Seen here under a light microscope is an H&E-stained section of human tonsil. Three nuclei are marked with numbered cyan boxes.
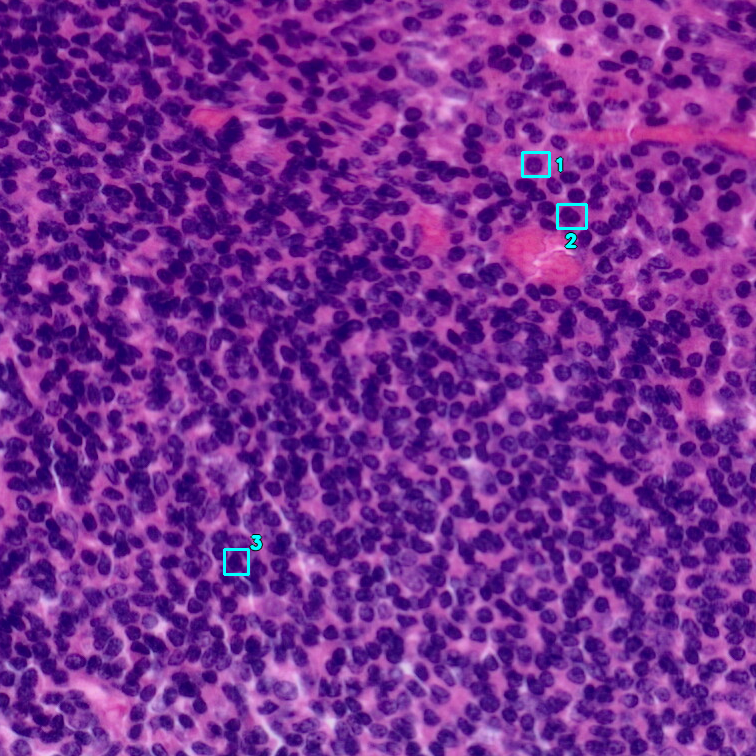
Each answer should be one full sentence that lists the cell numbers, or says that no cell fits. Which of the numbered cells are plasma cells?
The cells picked out by numbers 1 and 2 are plasma cells.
